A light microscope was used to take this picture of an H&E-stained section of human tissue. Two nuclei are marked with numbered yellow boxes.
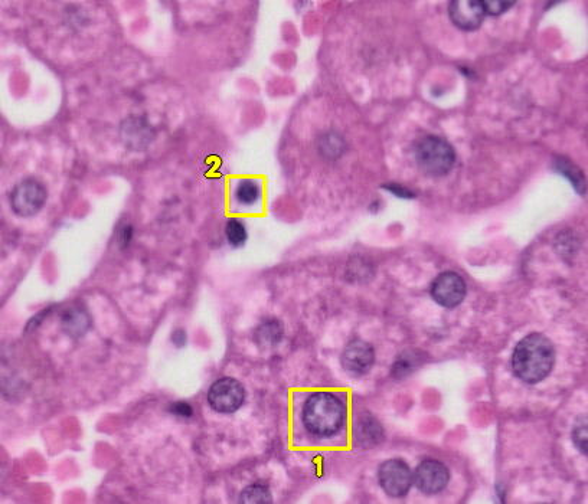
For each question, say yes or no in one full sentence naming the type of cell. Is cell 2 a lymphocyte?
Yes, the cell carrying number 2 is a lymphocyte.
